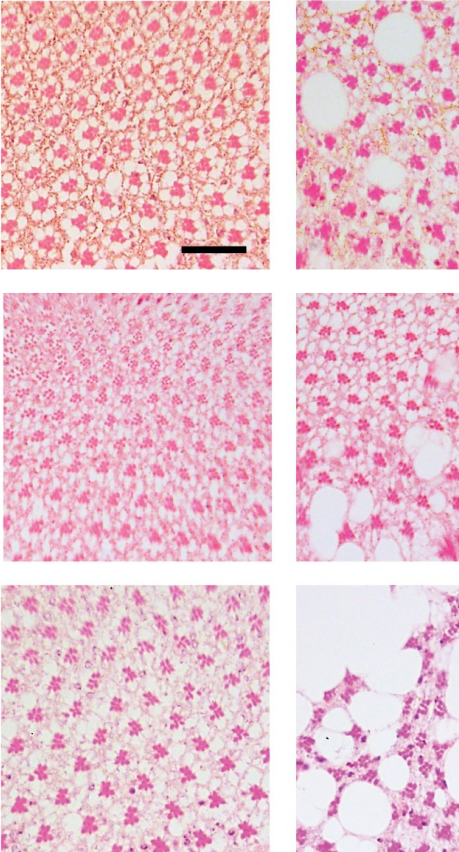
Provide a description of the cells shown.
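These are tangential sections through the retina, cut across a regular array of ommatidia, each seen as a small rosette of pink-red rhabdomere profiles. In the right-hand images this order is broken by large, round, empty vacuoles of varying size. The vacuoles displace and distort the surrounding ommatidia, and in the lowest right-hand image they are largest and most numerous, leaving only patches of crowded, disorganized tissue between them.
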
